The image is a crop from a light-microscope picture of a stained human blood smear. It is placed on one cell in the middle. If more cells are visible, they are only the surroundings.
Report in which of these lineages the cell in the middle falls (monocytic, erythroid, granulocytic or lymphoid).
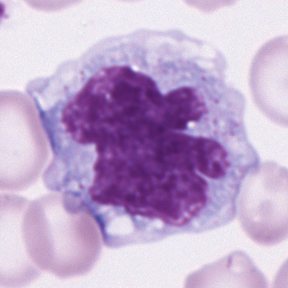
monocytic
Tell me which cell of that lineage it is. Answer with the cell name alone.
monocyte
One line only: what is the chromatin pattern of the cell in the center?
The chromatin is fine throughout, without coarse clumps.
